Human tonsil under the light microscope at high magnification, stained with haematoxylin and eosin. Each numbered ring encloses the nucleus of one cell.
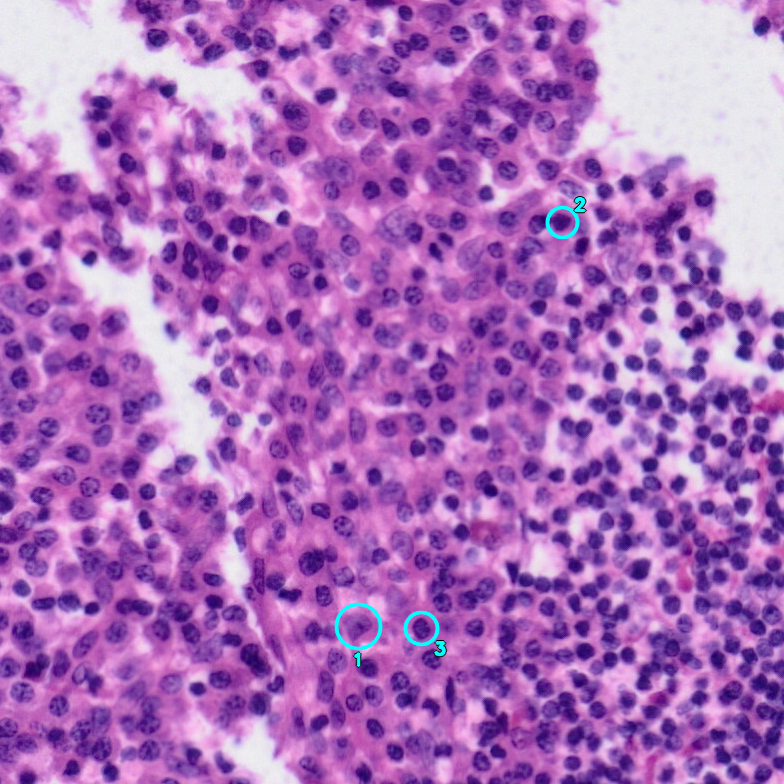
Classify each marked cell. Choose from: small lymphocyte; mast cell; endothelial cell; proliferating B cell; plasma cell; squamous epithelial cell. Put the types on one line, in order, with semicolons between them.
squamous epithelial cell; plasma cell; plasma cell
